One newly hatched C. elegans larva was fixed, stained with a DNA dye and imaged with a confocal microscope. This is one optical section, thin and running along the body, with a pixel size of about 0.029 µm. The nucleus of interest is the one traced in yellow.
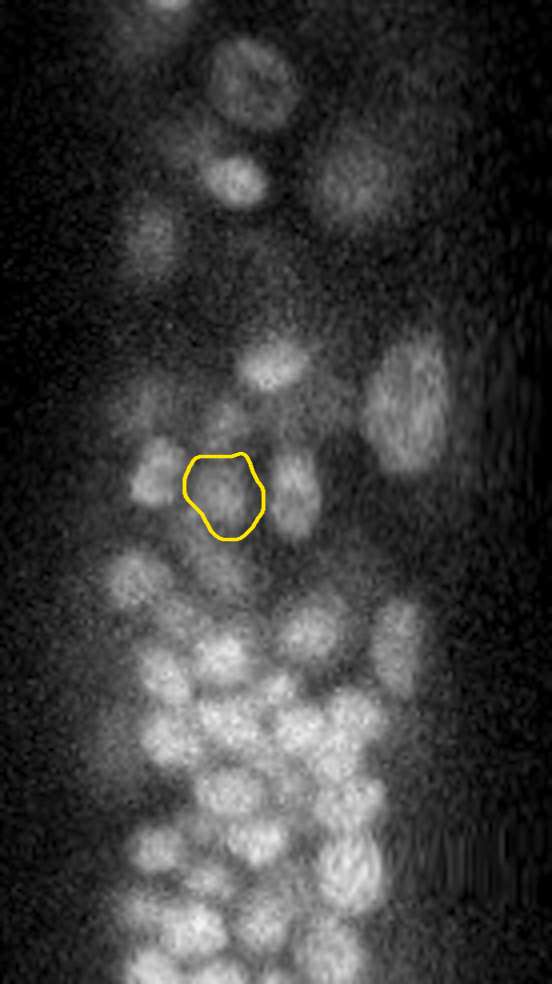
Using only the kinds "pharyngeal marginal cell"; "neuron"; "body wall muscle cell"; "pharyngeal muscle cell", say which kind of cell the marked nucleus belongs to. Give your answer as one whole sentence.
It belongs to a pharyngeal muscle cell.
